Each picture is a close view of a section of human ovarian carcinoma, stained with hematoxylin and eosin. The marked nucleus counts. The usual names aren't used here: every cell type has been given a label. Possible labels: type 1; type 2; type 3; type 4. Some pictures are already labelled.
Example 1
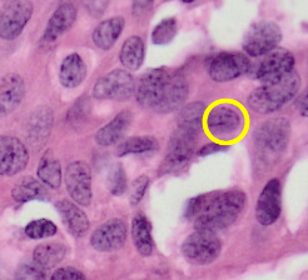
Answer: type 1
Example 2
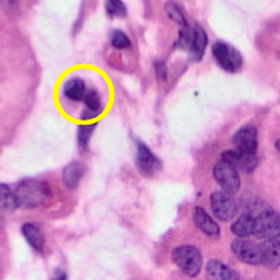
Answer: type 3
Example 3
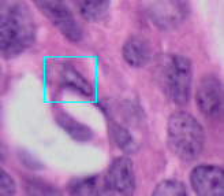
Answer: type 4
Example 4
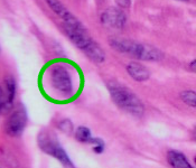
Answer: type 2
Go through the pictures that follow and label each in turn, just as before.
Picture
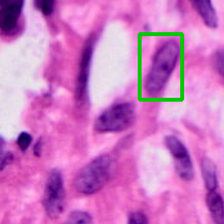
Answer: type 2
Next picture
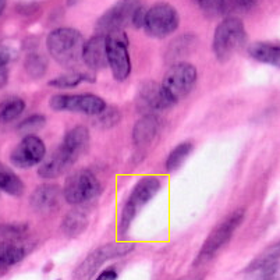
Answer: type 2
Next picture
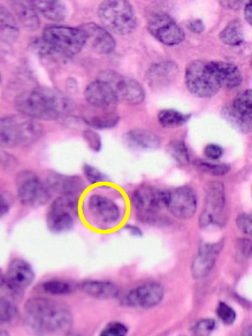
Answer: type 3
